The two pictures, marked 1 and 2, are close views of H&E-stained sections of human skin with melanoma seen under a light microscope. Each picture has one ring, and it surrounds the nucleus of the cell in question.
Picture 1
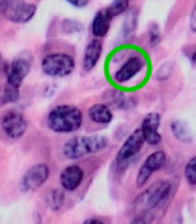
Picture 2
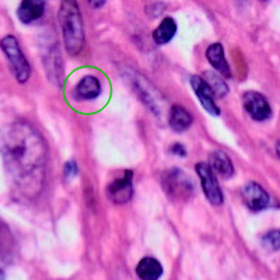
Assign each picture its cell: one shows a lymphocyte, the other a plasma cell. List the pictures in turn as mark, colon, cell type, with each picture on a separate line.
1: plasma cell
2: lymphocyte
